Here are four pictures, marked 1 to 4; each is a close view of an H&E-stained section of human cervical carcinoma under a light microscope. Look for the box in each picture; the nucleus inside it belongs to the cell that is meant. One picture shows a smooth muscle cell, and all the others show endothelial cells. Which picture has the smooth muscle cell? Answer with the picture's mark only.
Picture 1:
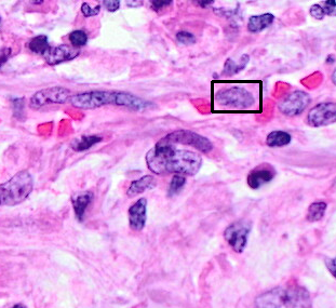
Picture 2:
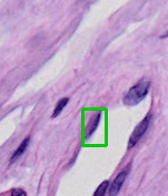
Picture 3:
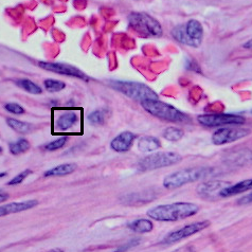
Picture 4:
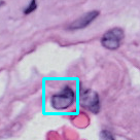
3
